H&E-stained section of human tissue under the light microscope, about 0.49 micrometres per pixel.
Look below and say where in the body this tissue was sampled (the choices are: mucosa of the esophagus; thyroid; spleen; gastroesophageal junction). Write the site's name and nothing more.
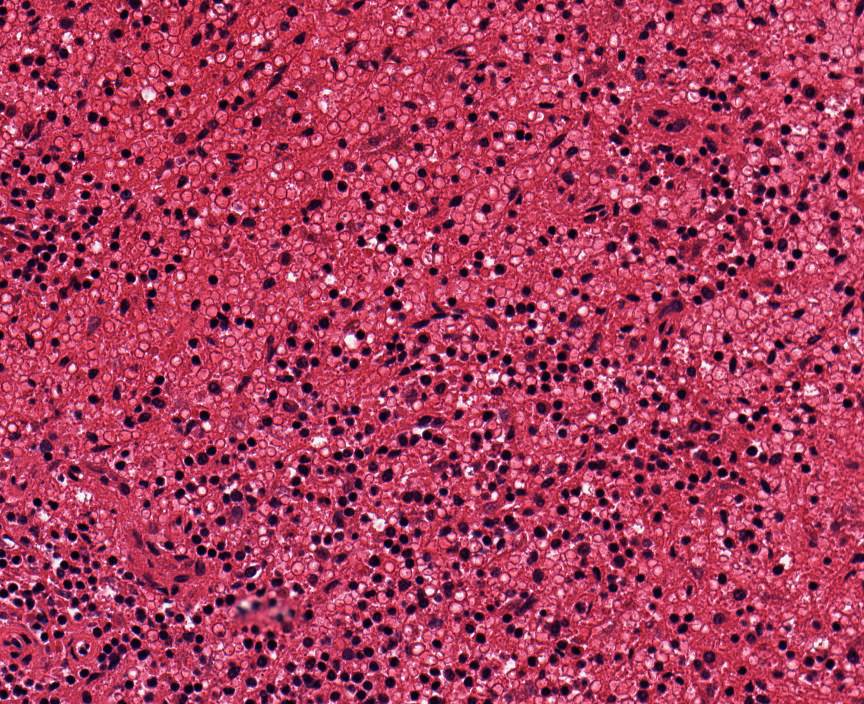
spleen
